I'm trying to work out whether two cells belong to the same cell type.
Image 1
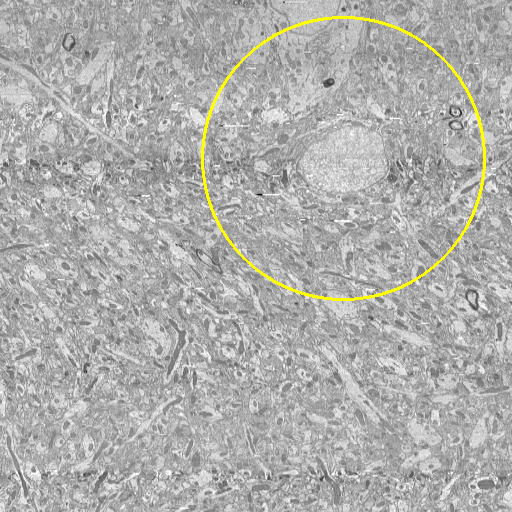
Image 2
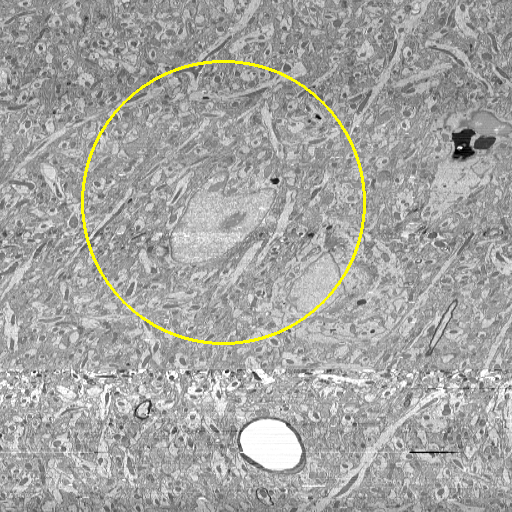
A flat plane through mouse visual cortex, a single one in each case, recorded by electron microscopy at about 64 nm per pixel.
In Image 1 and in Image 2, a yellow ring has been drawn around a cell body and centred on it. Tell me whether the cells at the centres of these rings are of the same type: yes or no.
yes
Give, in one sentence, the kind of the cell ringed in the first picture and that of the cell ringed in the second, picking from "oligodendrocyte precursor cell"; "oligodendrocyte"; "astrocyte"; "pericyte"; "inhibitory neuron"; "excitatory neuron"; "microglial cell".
In both pictures the ring is centred on an astrocyte.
